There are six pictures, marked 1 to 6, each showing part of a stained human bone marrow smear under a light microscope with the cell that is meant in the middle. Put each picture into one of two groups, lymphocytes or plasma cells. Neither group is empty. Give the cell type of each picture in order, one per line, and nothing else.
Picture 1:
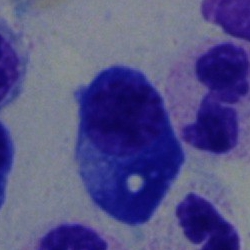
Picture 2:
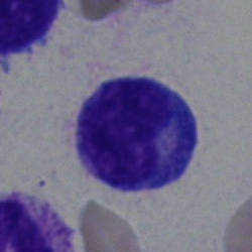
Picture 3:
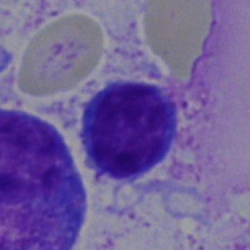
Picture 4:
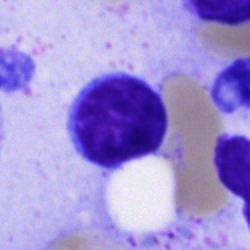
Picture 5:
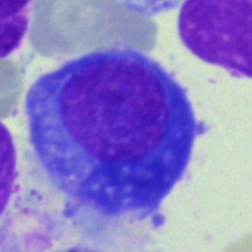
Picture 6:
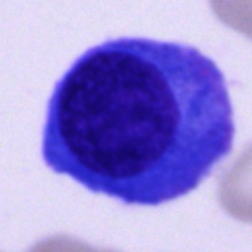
plasma cell
lymphocyte
lymphocyte
lymphocyte
plasma cell
plasma cell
